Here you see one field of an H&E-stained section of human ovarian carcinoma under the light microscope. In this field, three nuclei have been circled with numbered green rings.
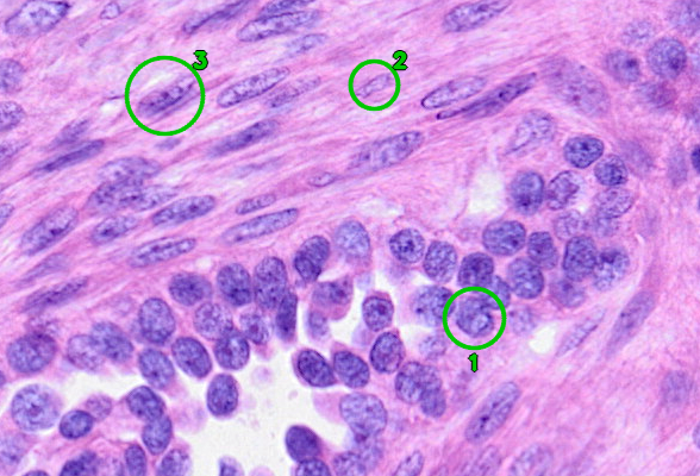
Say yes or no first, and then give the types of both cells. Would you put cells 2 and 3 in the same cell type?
Yes, cells 2 and 3 both qualify as fibroblasts.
